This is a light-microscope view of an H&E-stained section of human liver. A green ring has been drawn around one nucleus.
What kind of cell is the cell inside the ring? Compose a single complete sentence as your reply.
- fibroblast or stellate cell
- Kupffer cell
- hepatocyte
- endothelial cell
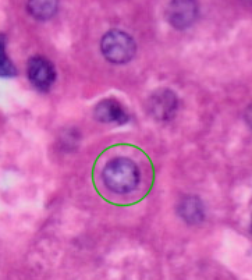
In the tissue at hand, the cell inside the ring is a hepatocyte.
